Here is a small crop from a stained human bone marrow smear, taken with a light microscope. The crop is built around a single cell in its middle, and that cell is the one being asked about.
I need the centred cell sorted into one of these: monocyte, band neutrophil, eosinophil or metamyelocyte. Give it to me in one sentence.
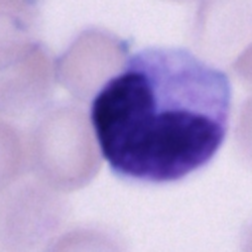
The cell in the middle of the field of view is a metamyelocyte.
